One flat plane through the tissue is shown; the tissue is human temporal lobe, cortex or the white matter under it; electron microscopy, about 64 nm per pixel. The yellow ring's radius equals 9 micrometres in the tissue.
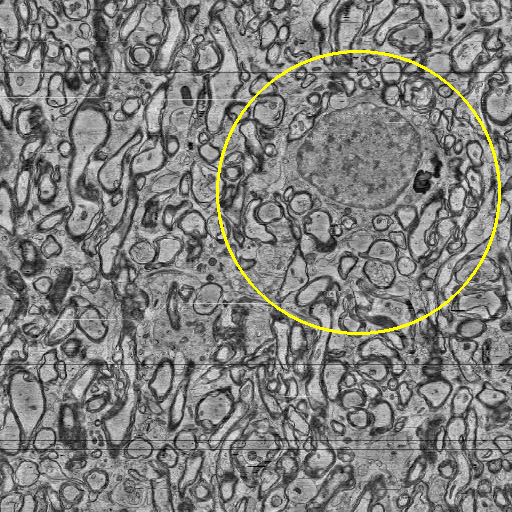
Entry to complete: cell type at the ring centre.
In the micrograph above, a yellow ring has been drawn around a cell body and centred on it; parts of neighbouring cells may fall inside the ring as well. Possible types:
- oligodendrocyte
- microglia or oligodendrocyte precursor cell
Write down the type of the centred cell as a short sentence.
The ring is centred on an oligodendrocyte.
